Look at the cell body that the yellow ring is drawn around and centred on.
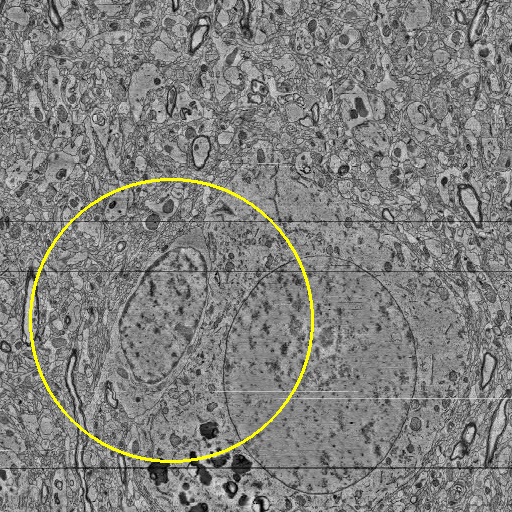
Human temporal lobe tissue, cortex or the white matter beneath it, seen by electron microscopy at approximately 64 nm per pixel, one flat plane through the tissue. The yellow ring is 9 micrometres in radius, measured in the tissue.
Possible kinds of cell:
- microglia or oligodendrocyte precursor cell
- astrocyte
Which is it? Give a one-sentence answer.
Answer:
The centred cell body is that of a microglial cell or oligodendrocyte precursor cell.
